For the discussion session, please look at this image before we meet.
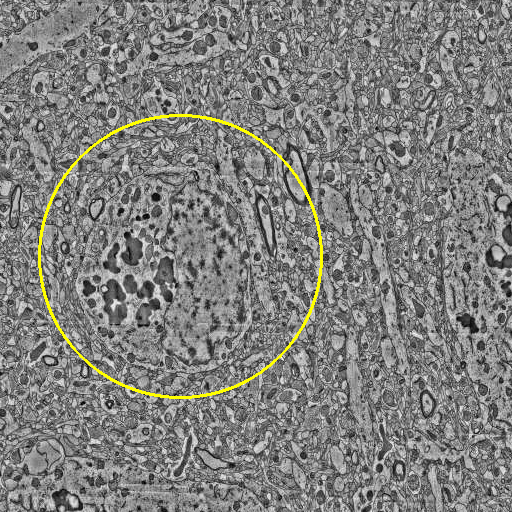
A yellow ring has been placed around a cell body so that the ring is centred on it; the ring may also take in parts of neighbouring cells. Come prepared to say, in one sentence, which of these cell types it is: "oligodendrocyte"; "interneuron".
The cell centred in the ring is an interneuron.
